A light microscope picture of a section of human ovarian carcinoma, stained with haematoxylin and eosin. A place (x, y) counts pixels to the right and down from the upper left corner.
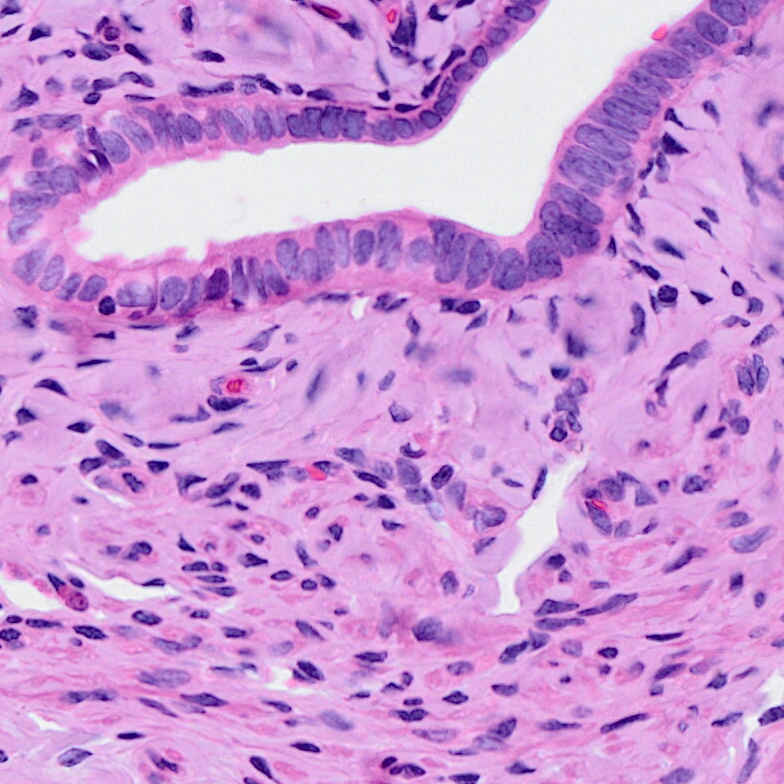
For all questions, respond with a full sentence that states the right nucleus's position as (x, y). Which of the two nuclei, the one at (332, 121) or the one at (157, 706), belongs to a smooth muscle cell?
Located at (157, 706), this nucleus is the one belonging to a smooth muscle cell.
